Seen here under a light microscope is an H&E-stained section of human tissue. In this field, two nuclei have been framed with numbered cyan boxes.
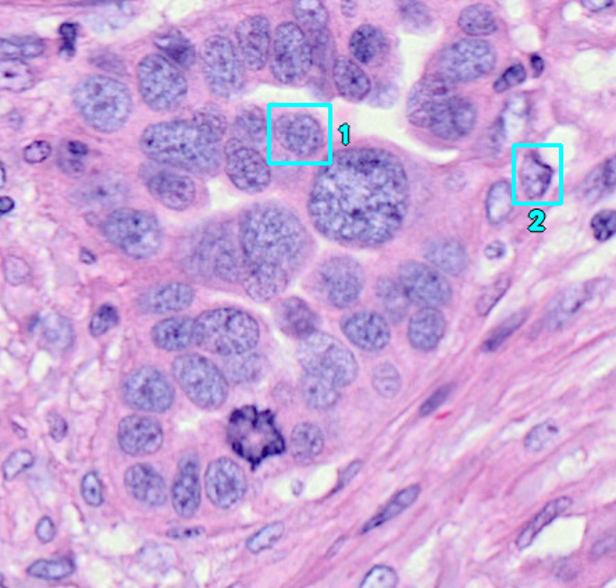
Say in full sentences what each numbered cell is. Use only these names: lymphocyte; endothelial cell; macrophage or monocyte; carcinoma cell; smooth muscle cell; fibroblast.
Cell 1 is a carcinoma cell and cell 2 is a fibroblast.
